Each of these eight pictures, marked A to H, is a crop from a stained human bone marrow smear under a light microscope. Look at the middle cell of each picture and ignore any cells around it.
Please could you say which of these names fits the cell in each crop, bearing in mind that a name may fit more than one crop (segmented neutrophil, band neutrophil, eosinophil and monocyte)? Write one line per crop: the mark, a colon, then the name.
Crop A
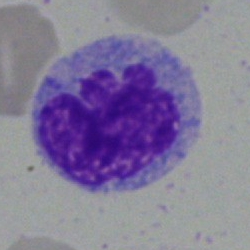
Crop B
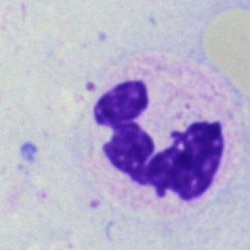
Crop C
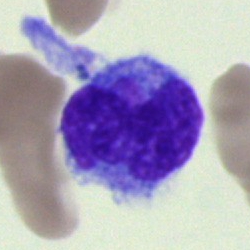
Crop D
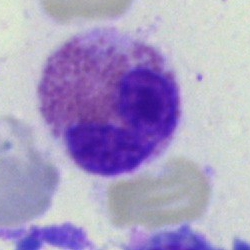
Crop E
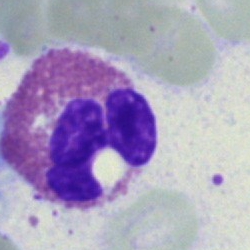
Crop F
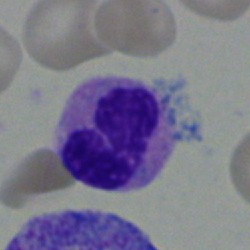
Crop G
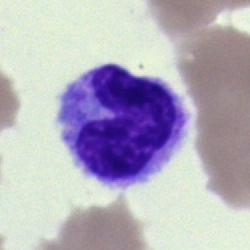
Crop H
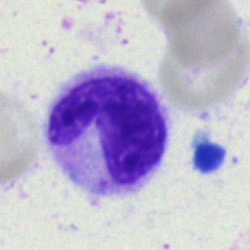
A: monocyte
B: segmented neutrophil
C: monocyte
D: eosinophil
E: eosinophil
F: band neutrophil
G: monocyte
H: band neutrophil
